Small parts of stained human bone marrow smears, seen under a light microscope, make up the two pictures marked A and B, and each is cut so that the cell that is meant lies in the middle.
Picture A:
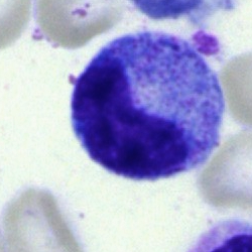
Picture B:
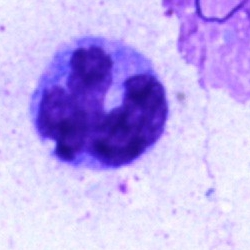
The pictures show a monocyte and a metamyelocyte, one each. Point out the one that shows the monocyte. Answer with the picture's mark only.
B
